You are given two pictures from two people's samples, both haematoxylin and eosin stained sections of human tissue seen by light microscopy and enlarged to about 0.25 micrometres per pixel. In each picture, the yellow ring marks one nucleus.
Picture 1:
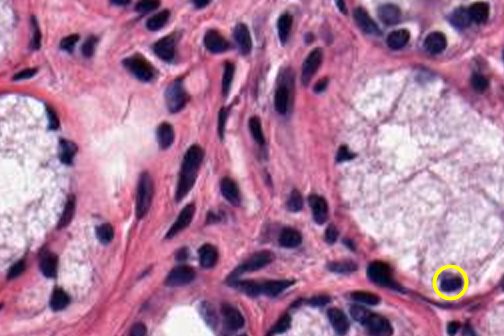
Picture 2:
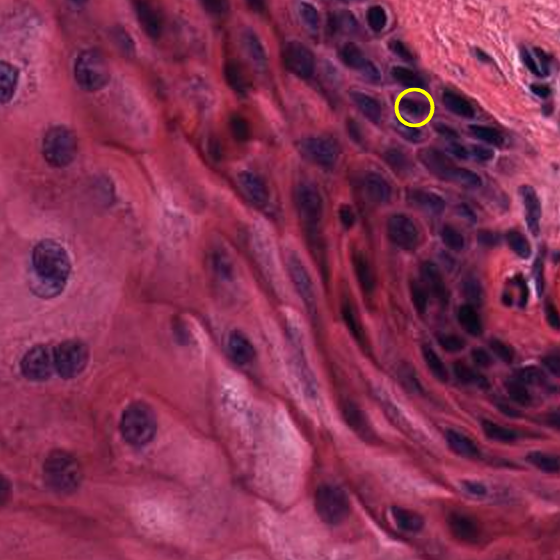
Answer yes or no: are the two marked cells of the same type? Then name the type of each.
No, the first is a mucous gland cell and the second a squamous epithelial cell.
